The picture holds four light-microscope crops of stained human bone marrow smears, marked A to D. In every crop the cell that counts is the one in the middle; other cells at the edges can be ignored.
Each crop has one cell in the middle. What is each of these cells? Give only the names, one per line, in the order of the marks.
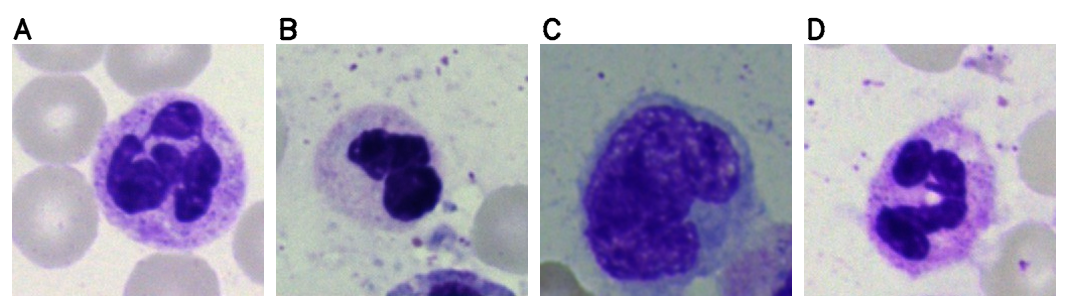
neutrophil
neutrophil
monocyte
neutrophil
